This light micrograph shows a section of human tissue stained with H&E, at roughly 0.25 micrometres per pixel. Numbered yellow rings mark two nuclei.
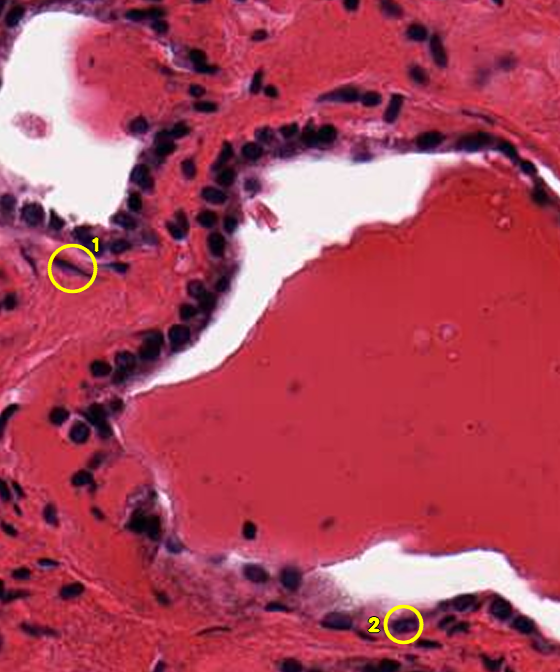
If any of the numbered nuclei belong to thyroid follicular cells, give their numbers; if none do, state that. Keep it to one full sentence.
Exclusively nucleus 2 belongs to a thyroid follicular cell.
